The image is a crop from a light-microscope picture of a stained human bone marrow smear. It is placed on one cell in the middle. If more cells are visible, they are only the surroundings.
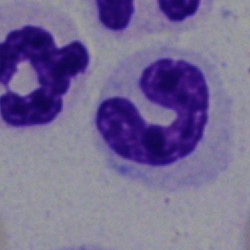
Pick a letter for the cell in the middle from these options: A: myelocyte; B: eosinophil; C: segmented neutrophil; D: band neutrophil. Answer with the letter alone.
C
